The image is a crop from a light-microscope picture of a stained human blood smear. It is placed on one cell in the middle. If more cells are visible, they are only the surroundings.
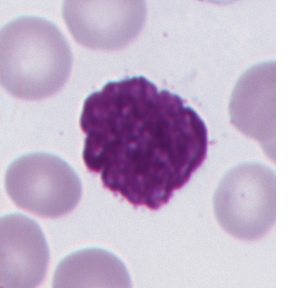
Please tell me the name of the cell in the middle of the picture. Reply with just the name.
smudge cell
